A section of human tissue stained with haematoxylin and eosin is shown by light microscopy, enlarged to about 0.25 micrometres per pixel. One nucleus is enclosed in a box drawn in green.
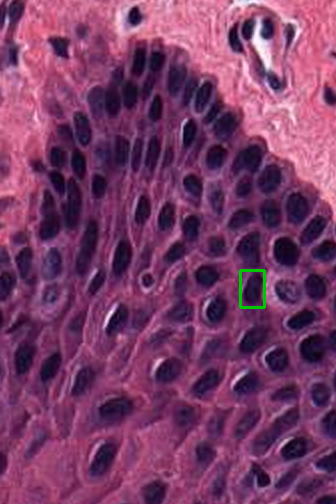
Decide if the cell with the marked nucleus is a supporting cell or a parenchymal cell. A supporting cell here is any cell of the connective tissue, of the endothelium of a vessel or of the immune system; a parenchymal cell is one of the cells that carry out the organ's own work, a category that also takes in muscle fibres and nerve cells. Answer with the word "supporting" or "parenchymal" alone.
parenchymal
